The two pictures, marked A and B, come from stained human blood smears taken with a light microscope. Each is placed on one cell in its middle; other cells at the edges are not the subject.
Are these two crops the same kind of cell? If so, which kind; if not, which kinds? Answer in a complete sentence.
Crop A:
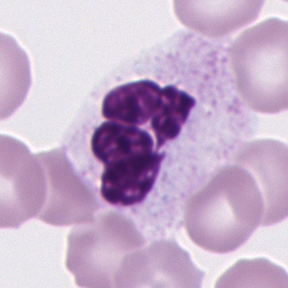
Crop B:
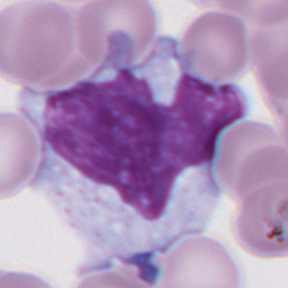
No, that is not right; crop A shows a neutrophil and crop B shows a monocyte.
